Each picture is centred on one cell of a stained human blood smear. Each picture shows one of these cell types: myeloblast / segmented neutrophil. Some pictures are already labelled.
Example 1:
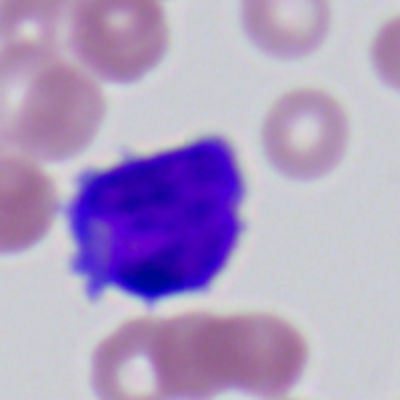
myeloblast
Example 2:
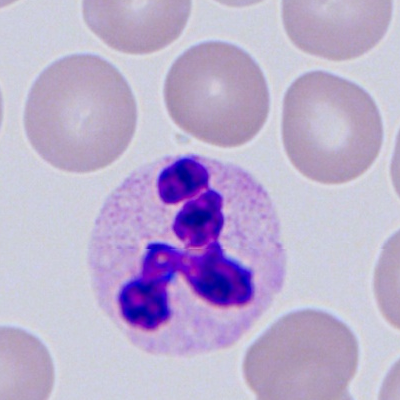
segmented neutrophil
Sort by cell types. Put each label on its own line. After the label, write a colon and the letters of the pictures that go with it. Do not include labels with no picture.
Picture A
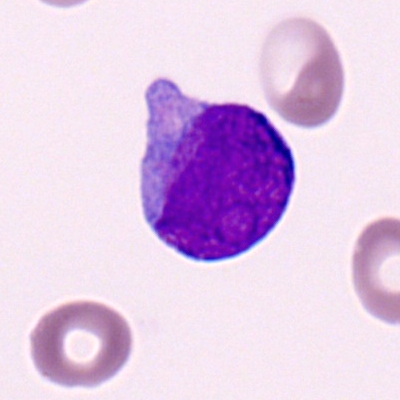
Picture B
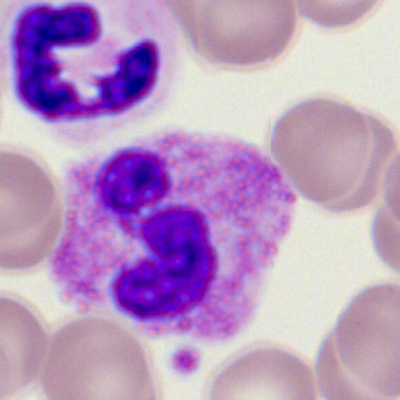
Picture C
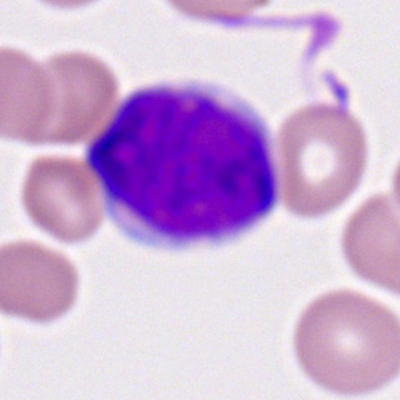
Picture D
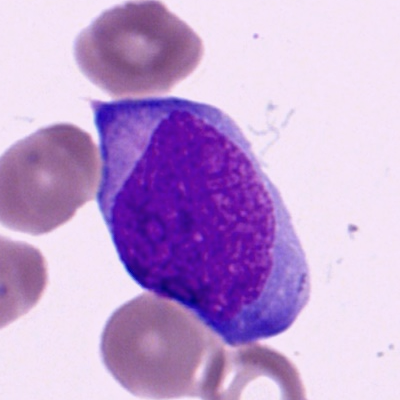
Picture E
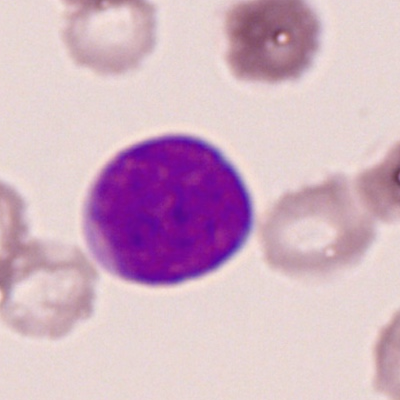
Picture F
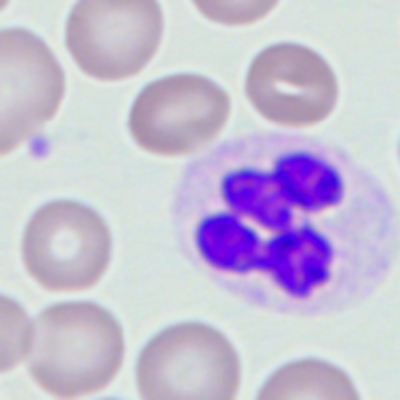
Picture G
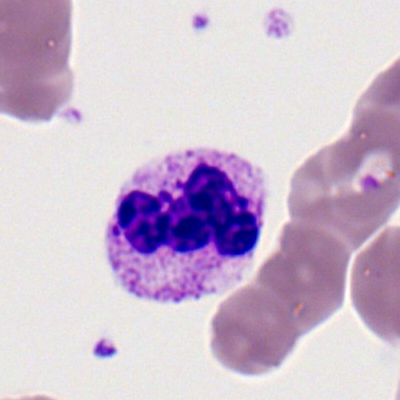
myeloblast: A, C, D, E
segmented neutrophil: B, F, G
